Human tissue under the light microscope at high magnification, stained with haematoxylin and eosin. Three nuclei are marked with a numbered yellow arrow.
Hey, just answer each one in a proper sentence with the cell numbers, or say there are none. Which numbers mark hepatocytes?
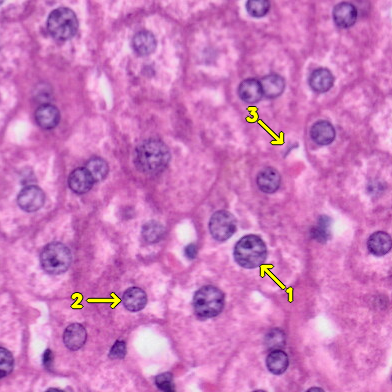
Regarding the numbered cells 1 and 2, these are hepatocytes.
